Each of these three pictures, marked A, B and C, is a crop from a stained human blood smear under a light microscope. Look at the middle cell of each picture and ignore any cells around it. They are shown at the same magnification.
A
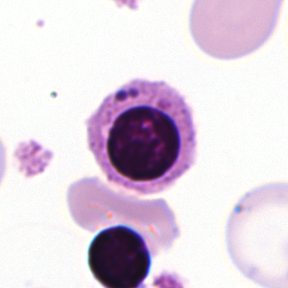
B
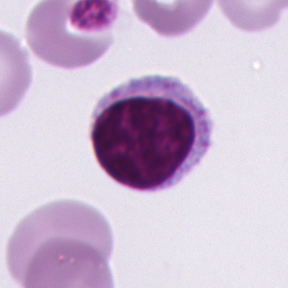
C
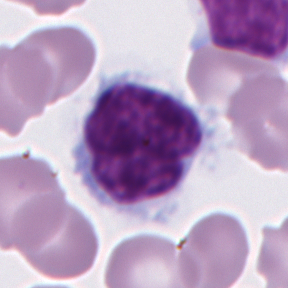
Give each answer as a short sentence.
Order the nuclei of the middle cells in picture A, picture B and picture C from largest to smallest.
From the largest down, the order is C, B, A.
